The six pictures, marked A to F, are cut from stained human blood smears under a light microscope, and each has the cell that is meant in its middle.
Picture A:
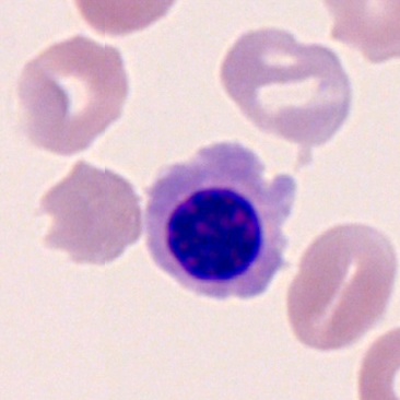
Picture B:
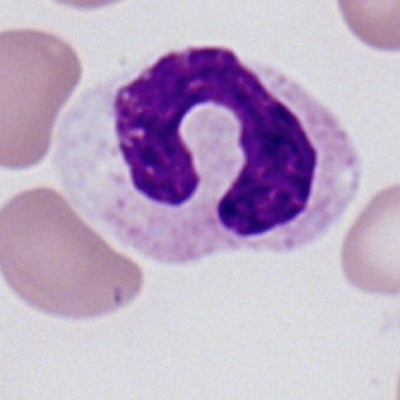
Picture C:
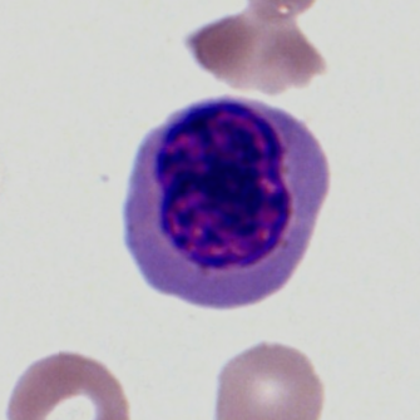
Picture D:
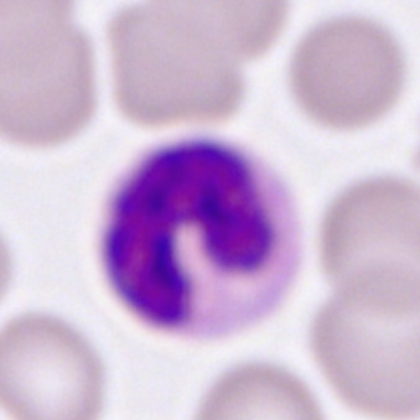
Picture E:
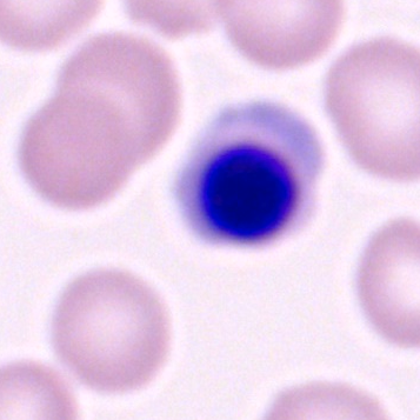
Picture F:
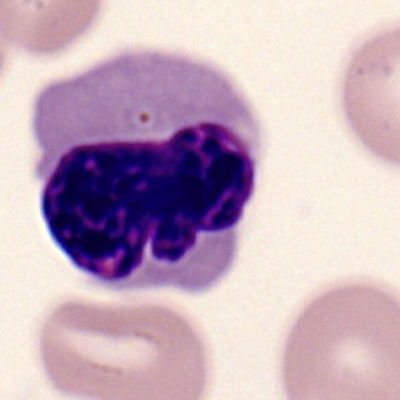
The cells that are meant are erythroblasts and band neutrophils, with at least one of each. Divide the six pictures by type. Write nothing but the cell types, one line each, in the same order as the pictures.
erythroblast
band neutrophil
erythroblast
band neutrophil
erythroblast
erythroblast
